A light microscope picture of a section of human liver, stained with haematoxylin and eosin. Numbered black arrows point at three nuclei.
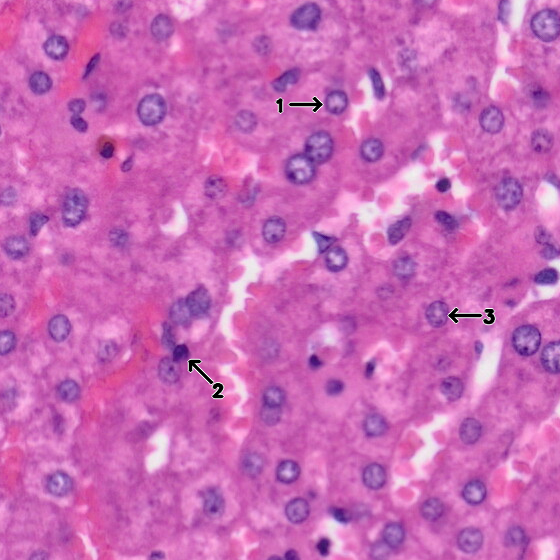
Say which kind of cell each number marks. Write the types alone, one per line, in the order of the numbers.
hepatocyte
fibroblast or stellate cell
hepatocyte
